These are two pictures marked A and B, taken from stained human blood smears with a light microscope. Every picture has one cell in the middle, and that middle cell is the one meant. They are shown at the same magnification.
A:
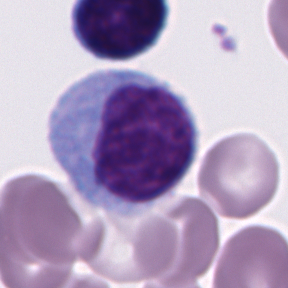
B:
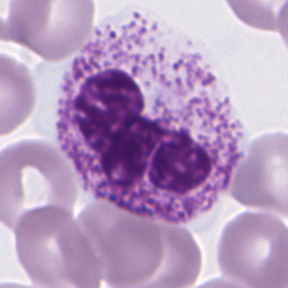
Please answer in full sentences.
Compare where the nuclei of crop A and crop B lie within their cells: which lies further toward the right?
The nucleus in crop A lies further toward the right of its cell.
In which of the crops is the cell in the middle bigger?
Larger is the cell in crop B, at roughly 1.5 times the area of the other.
